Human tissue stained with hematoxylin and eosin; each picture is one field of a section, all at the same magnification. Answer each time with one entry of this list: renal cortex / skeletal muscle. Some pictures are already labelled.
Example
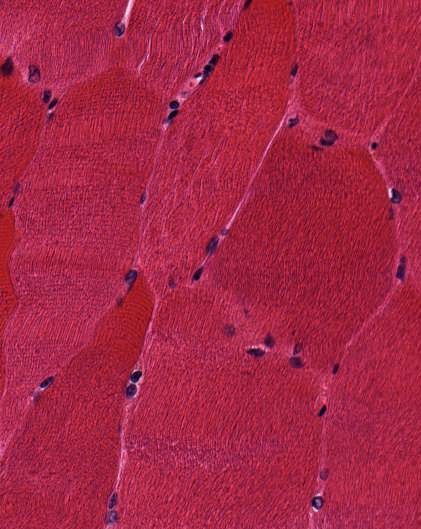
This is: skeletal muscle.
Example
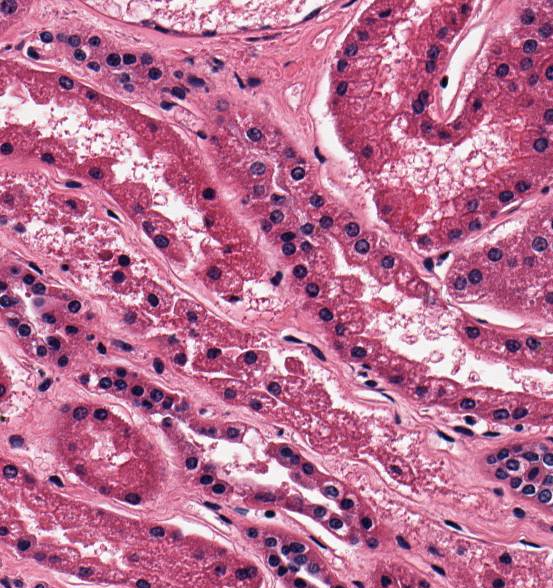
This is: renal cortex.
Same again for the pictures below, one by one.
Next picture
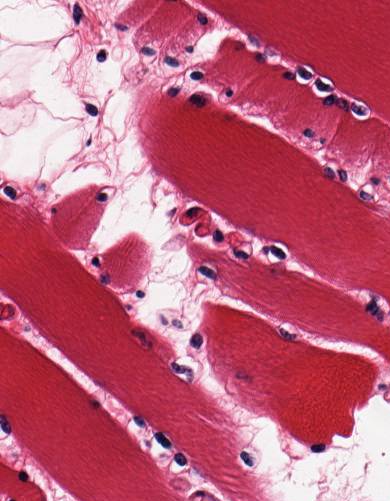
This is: skeletal muscle.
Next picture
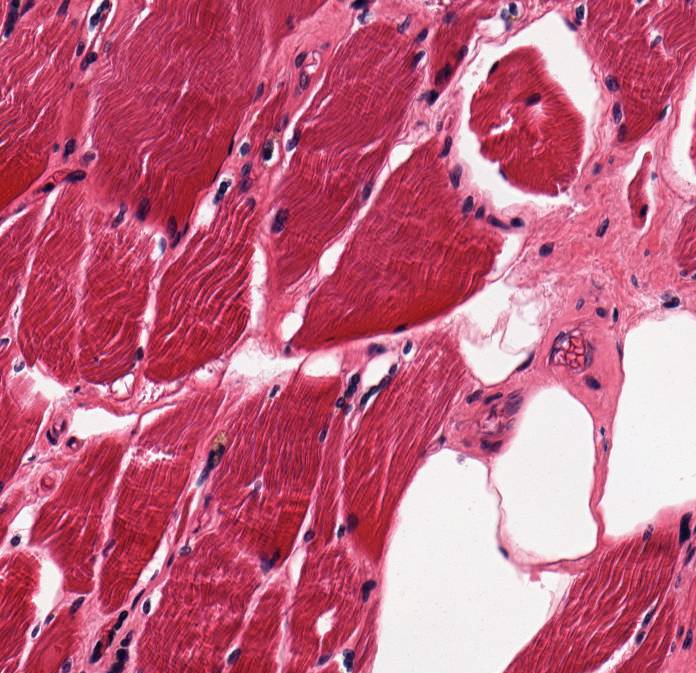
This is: skeletal muscle.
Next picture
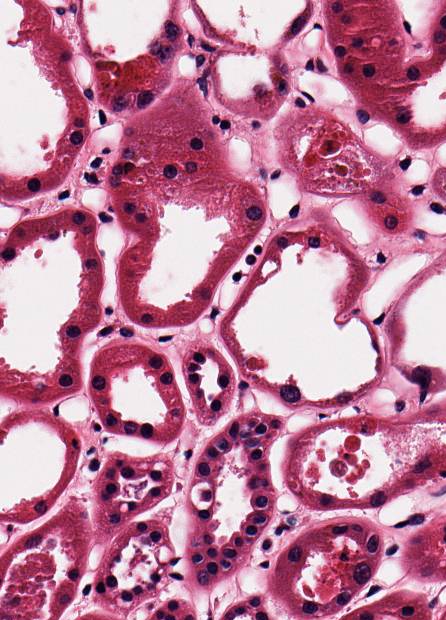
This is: renal cortex.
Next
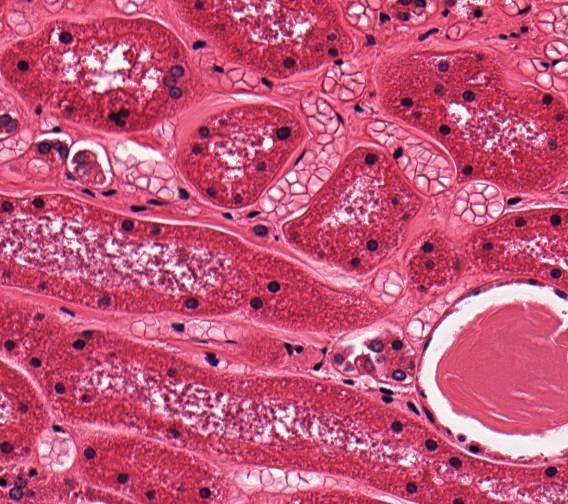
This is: renal cortex.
